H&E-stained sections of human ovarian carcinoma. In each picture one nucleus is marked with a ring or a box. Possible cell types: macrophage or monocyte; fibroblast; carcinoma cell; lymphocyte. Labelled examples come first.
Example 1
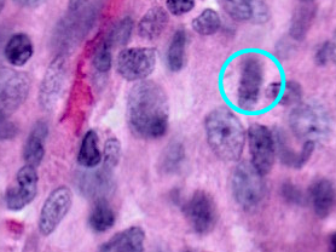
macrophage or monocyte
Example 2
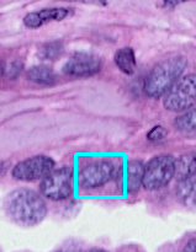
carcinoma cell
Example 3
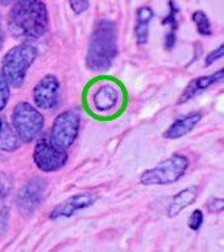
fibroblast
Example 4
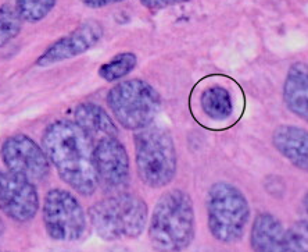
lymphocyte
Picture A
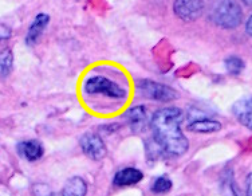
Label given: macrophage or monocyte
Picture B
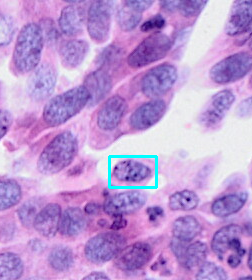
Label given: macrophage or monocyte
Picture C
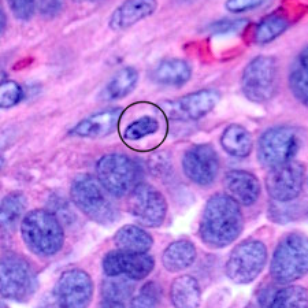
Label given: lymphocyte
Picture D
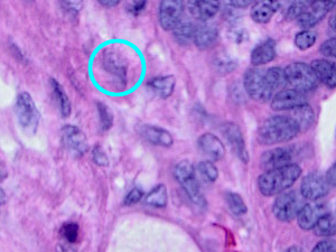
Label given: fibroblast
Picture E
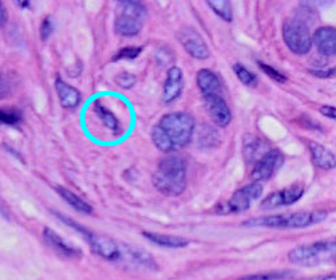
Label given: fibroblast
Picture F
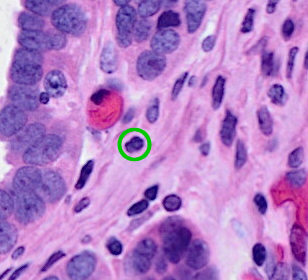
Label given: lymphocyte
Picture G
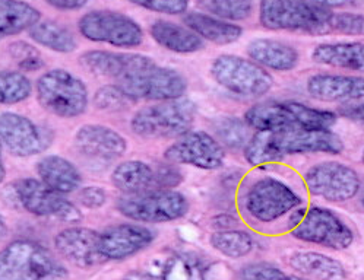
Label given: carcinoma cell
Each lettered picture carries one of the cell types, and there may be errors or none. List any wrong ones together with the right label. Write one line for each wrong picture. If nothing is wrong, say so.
Wrong: A (macrophage or monocyte); correct: lymphocyte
